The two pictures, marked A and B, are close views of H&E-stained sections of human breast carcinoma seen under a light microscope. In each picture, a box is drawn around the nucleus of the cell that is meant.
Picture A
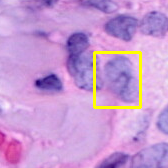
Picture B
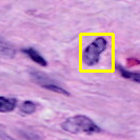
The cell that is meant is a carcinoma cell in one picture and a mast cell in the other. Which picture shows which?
A: carcinoma cell
B: mast cell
